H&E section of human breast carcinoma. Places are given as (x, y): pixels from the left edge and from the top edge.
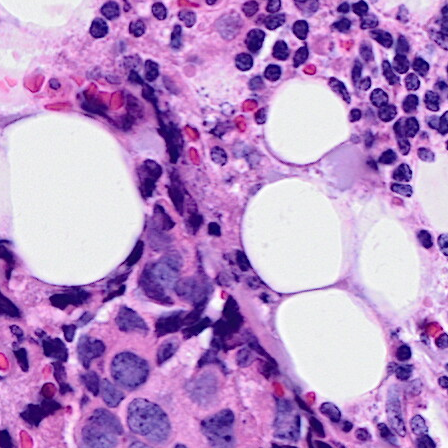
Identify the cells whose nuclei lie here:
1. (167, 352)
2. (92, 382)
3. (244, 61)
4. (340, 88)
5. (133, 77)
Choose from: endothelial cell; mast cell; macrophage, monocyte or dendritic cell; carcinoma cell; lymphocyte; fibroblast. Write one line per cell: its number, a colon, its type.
1: carcinoma cell
2: carcinoma cell
3: lymphocyte
4: lymphocyte
5: lymphocyte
